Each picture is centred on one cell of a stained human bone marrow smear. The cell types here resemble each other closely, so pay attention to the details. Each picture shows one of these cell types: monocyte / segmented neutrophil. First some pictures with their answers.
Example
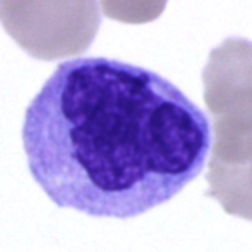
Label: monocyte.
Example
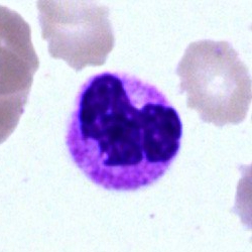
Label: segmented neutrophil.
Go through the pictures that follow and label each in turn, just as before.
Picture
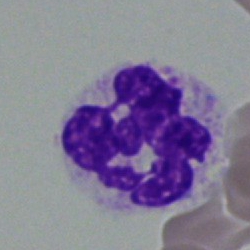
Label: segmented neutrophil.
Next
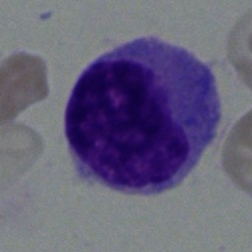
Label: monocyte.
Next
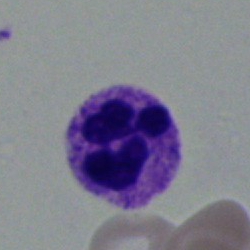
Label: segmented neutrophil.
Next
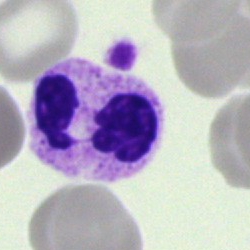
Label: segmented neutrophil.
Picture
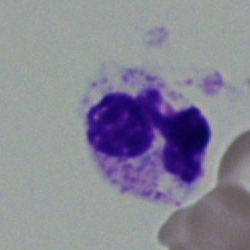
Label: segmented neutrophil.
